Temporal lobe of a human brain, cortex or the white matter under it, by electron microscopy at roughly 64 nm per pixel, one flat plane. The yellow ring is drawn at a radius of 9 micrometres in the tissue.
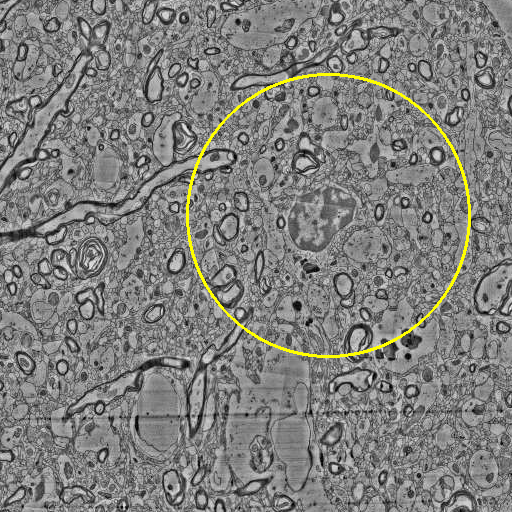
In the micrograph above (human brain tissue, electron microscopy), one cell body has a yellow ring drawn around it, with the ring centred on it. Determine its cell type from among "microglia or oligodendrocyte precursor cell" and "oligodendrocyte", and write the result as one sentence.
The cell whose body is ringed is a microglial cell or oligodendrocyte precursor cell.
